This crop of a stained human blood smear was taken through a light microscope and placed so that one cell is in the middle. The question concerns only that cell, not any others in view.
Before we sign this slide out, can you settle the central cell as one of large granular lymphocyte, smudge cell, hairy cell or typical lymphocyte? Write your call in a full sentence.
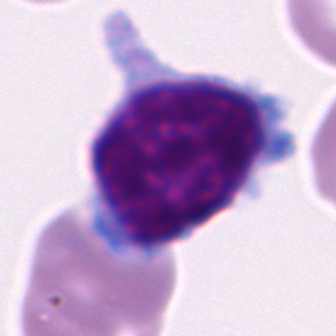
The middle position in this crop is taken by a typical lymphocyte.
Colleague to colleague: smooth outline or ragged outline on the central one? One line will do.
An uneven margin is present, with either ragged stretches or outward projections.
